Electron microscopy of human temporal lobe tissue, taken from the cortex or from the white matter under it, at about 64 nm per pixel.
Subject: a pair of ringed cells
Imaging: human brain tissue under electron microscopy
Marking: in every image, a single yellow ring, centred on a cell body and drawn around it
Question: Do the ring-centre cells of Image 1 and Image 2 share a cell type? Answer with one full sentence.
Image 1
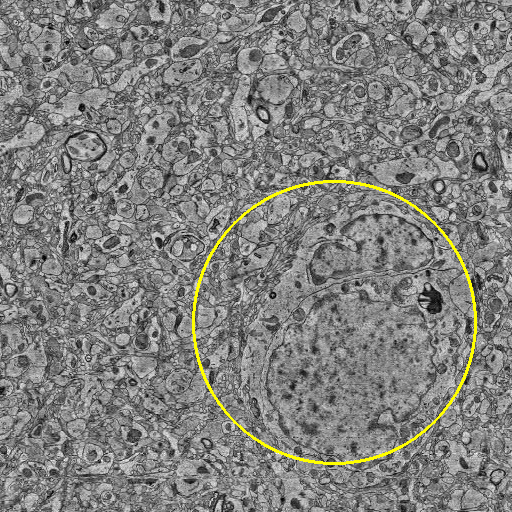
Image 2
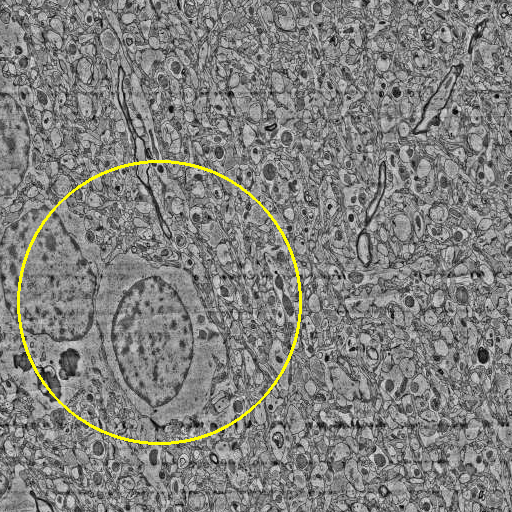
No, at the ring centres in the images sit cells of two separate types.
